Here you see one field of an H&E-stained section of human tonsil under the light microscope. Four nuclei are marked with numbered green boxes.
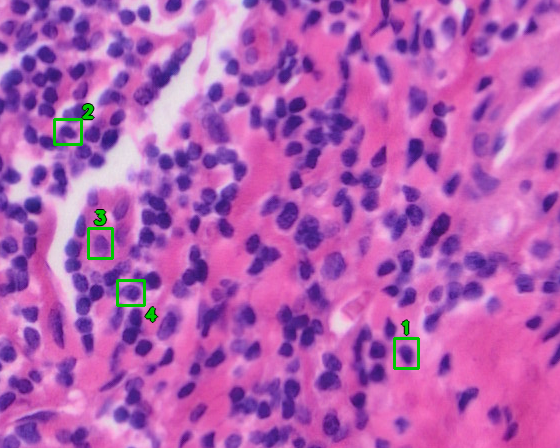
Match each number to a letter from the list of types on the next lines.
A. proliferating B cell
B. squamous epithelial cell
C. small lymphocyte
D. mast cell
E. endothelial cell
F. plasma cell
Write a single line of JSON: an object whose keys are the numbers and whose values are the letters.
{"1": "D", "2": "C", "3": "E", "4": "C"}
